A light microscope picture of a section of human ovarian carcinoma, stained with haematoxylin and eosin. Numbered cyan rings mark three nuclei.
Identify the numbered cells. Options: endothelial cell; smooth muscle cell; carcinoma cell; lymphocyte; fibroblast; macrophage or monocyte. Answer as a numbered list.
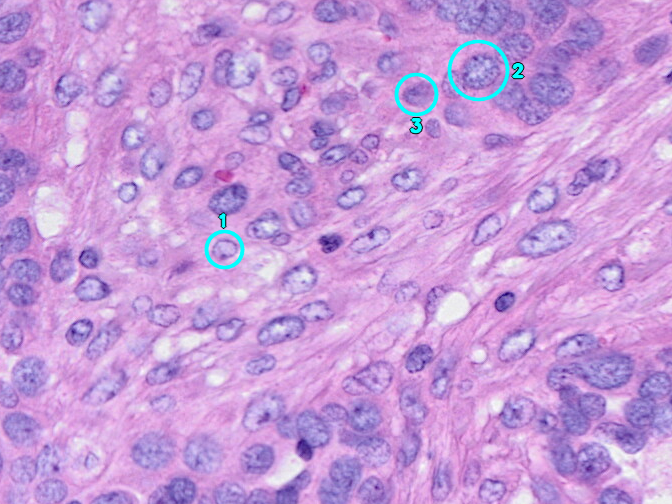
1. fibroblast
2. carcinoma cell
3. fibroblast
